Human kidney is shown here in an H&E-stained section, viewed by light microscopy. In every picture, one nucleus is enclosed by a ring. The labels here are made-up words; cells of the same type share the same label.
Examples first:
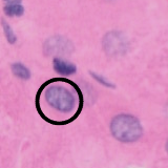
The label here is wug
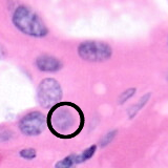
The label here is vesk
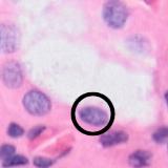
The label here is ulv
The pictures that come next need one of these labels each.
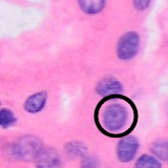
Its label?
vesk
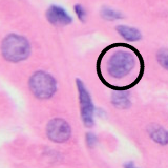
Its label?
vesk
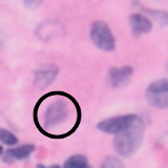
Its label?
wug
